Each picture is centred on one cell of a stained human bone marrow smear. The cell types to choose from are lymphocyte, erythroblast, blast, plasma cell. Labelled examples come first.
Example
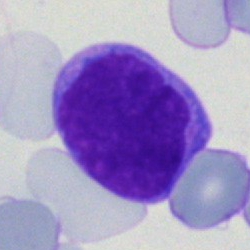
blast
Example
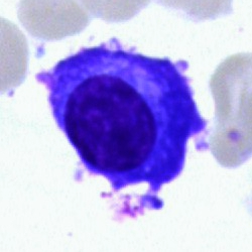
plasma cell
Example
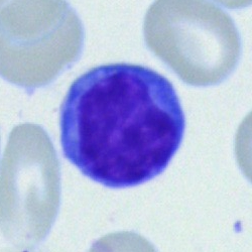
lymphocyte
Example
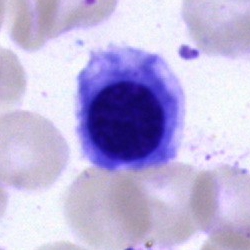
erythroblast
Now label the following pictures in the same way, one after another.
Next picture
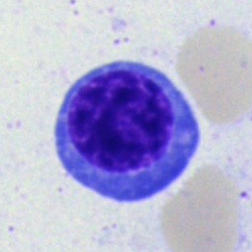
erythroblast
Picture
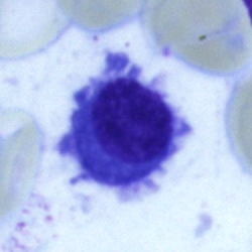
plasma cell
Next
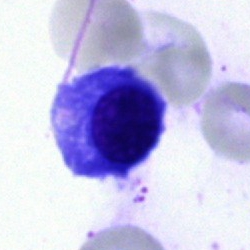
plasma cell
